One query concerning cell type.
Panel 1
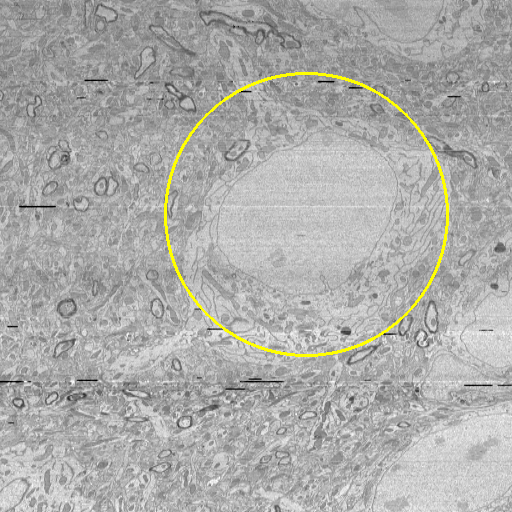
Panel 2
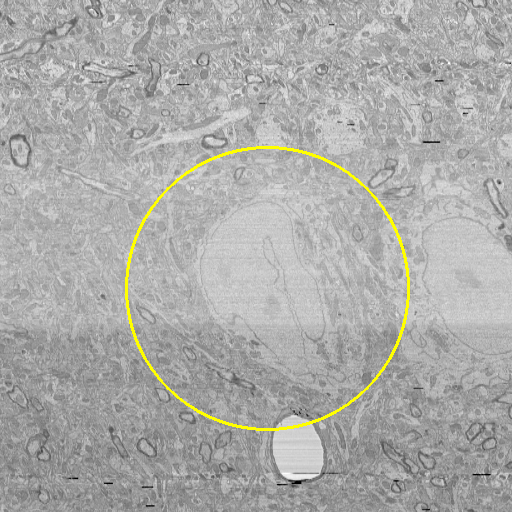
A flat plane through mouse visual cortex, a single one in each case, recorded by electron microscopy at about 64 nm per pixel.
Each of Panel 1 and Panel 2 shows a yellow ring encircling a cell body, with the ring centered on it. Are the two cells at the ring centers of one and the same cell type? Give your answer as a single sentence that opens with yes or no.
Yes, the cell centered in Panel 1 and the one in Panel 2 share a type.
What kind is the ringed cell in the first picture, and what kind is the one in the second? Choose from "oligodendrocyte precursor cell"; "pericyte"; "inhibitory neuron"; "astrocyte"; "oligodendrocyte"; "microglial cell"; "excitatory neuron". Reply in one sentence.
The second cell is an excitatory neuron, just as the first is.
